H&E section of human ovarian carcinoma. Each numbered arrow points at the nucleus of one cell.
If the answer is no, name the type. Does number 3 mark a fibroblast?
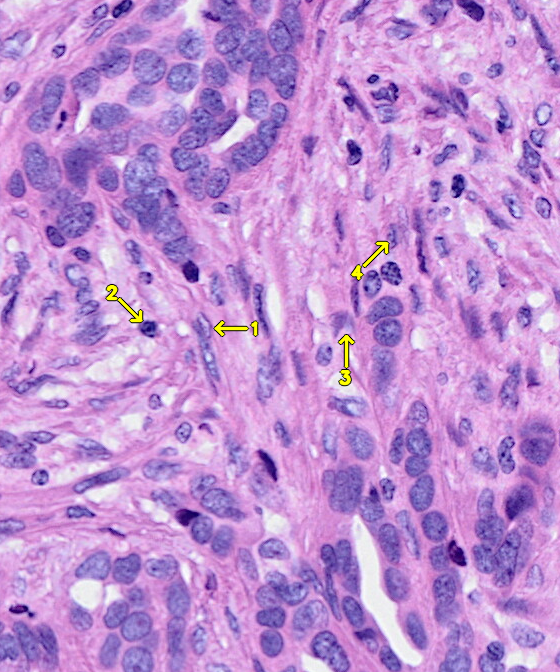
Yes.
